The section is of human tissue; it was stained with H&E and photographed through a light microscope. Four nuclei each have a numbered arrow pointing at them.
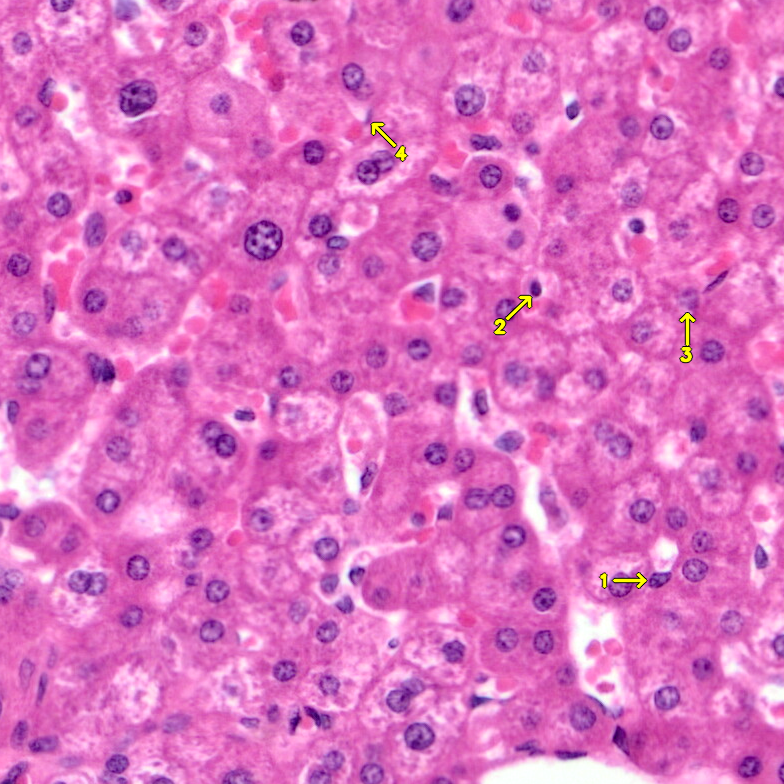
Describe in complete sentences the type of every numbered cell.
Cell 1 is a fibroblast or stellate cell, cell 2 is a lymphocyte, cell 3 is a hepatocyte and cell 4 is an endothelial cell.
